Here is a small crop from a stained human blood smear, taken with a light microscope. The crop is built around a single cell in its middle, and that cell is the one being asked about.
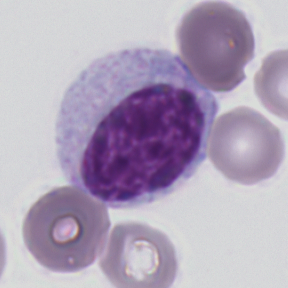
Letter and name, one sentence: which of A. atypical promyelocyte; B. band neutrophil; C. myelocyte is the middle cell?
Here the central cell is a myelocyte, and option C is correct.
